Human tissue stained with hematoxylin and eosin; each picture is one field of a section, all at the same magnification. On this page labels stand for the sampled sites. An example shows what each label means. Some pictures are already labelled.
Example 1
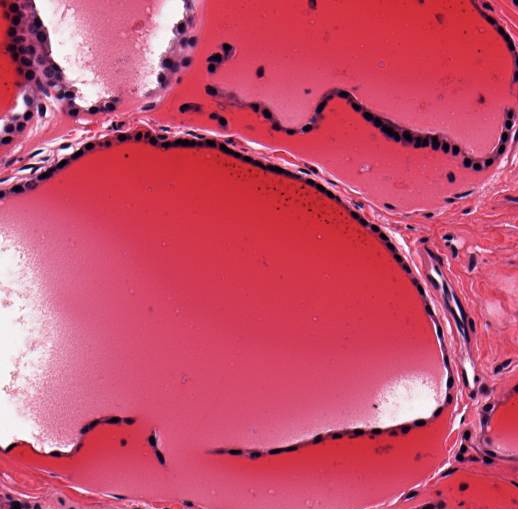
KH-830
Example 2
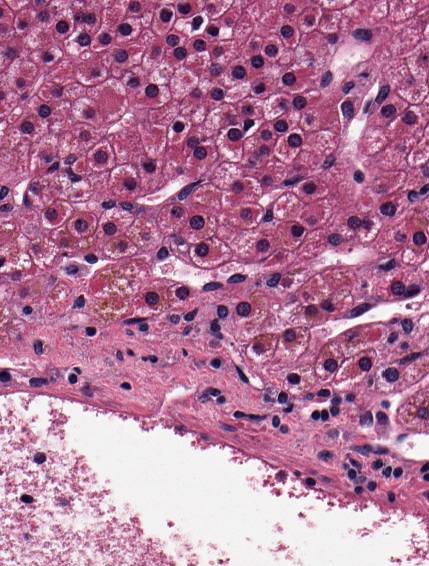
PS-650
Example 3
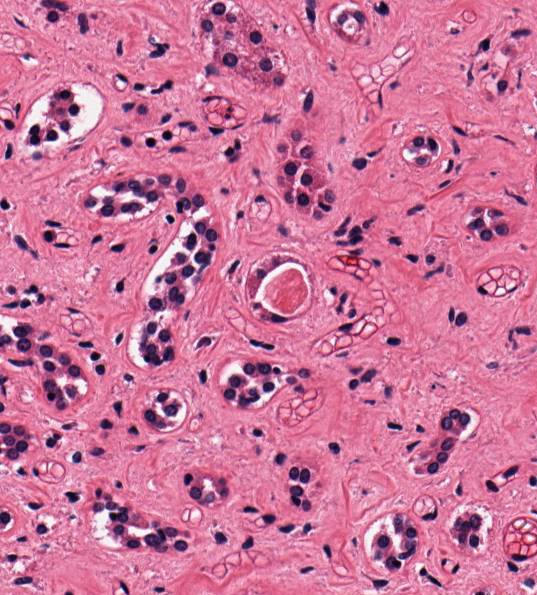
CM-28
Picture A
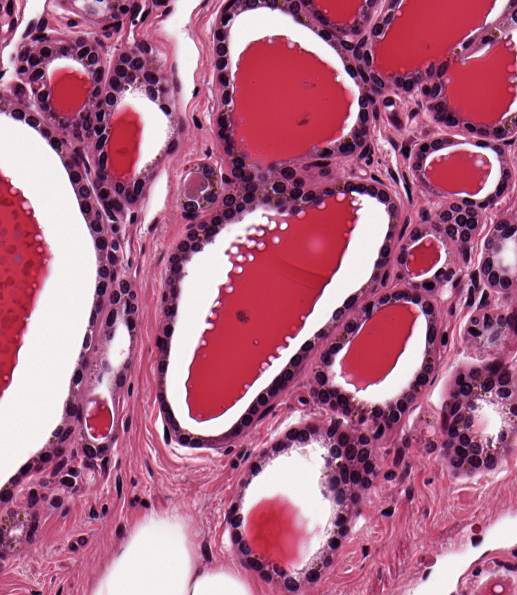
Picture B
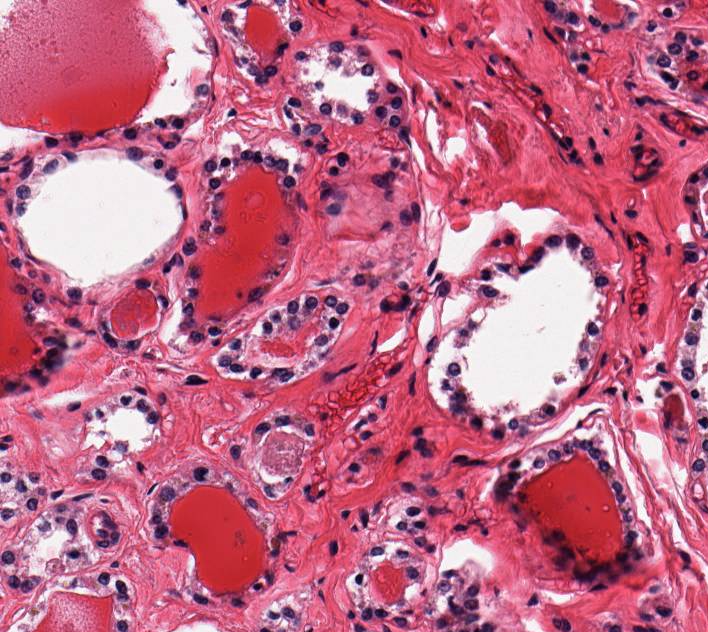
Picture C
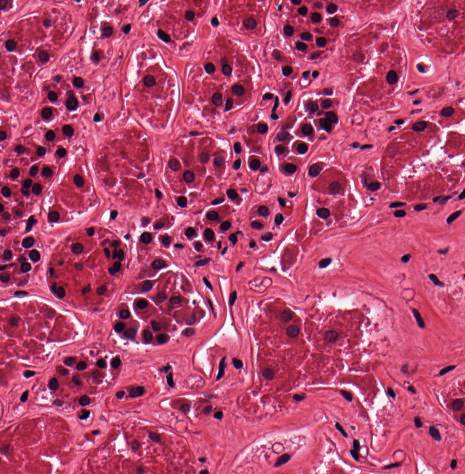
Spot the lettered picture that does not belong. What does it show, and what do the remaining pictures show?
C: CM-28; all the others: KH-830.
